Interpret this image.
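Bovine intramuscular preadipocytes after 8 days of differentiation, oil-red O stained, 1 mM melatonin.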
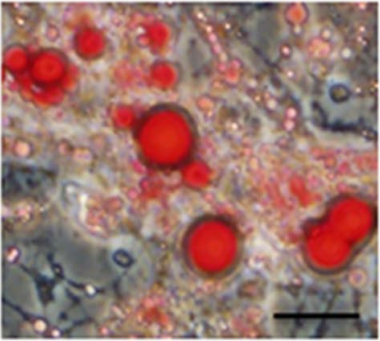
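Several large round red droplets with a dark refractile rim stand out, some lying in pairs that touch, while many small red and orange droplets are scattered densely across the cytoplasm around them. Unstained grey areas of flat cells, with dark linear edges and folds, lie between the droplet-rich regions. The droplets are spherical and sharply outlined; nuclei are not clearly seen.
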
